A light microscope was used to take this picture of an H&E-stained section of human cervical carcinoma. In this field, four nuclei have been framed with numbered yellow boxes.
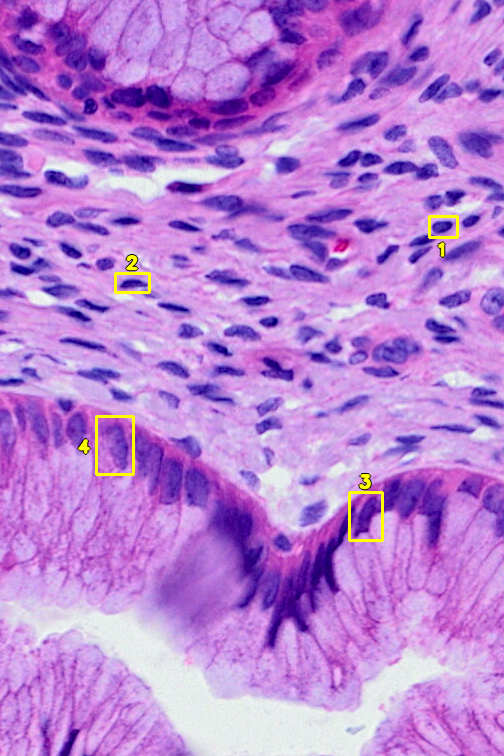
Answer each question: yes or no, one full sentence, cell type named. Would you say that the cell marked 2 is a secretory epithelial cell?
No, cell 2 is not a secretory epithelial cell; a fibroblast is the correct identification.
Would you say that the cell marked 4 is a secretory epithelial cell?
Yes, the one with the number 4 is a secretory epithelial cell.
